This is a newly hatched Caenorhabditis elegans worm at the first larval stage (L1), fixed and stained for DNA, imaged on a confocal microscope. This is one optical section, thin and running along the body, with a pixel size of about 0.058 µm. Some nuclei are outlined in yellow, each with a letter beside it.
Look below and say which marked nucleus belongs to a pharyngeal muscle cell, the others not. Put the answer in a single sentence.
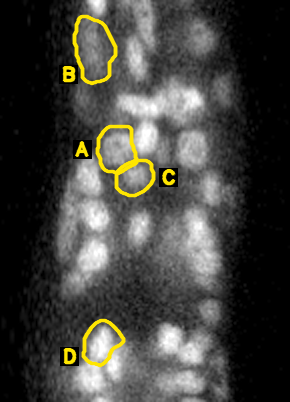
The nucleus of a pharyngeal muscle cell is A.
